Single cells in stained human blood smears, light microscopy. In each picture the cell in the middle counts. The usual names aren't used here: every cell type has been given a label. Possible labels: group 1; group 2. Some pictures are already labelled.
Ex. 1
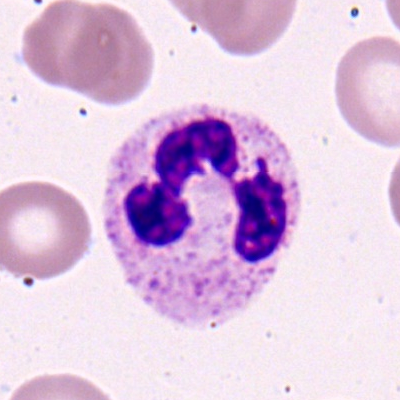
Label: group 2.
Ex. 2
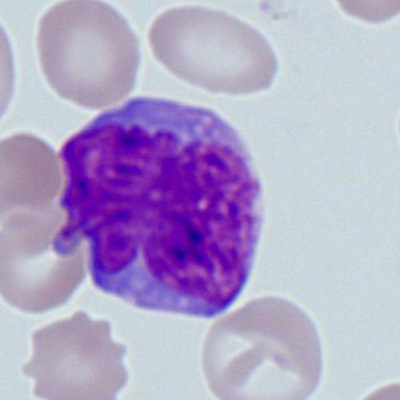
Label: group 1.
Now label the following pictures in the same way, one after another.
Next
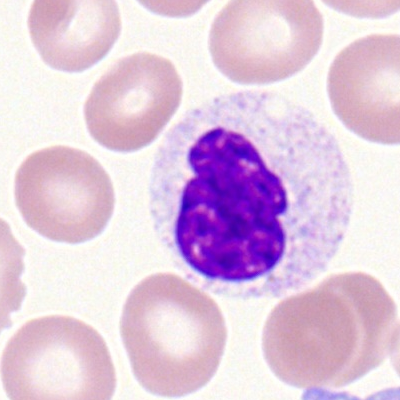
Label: group 2.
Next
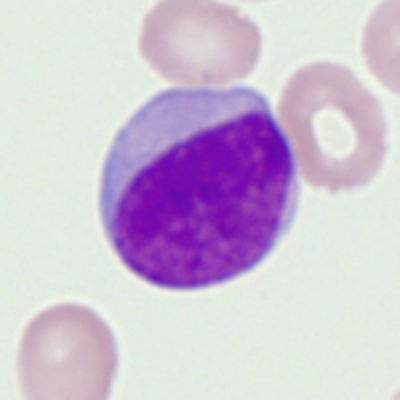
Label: group 1.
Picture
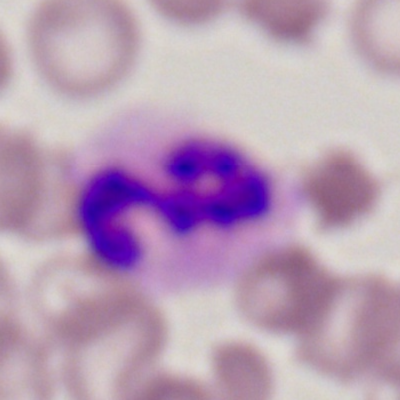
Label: group 2.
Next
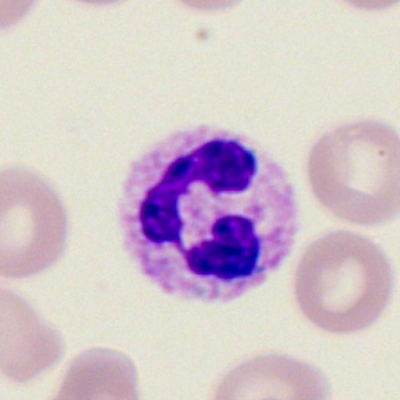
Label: group 2.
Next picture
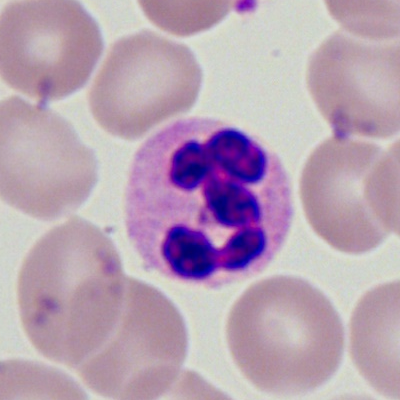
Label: group 2.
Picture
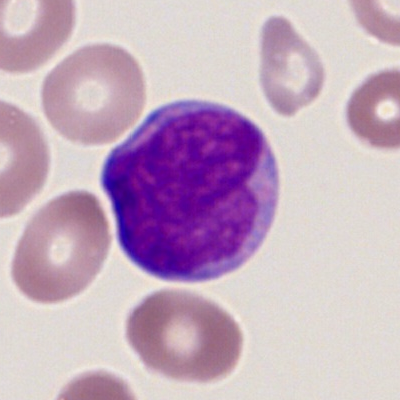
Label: group 1.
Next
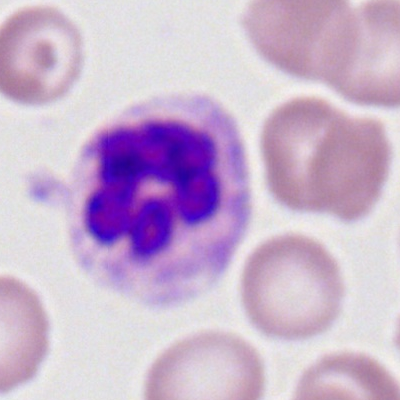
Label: group 2.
